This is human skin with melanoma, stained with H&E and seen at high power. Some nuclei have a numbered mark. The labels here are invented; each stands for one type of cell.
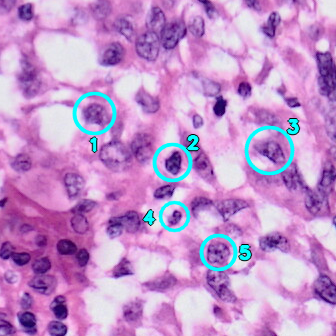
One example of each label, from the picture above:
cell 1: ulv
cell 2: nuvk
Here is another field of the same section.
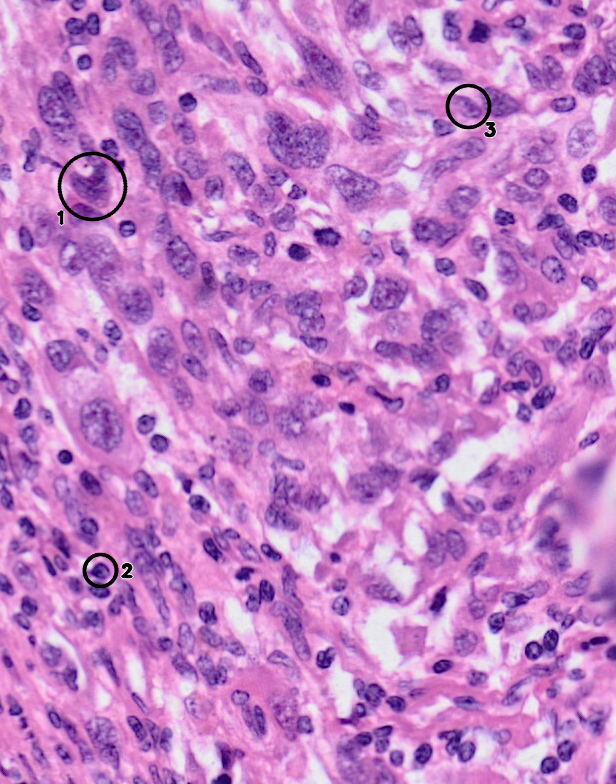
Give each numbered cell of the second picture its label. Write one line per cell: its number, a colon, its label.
1: ulv
2: nuvk
3: ulv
